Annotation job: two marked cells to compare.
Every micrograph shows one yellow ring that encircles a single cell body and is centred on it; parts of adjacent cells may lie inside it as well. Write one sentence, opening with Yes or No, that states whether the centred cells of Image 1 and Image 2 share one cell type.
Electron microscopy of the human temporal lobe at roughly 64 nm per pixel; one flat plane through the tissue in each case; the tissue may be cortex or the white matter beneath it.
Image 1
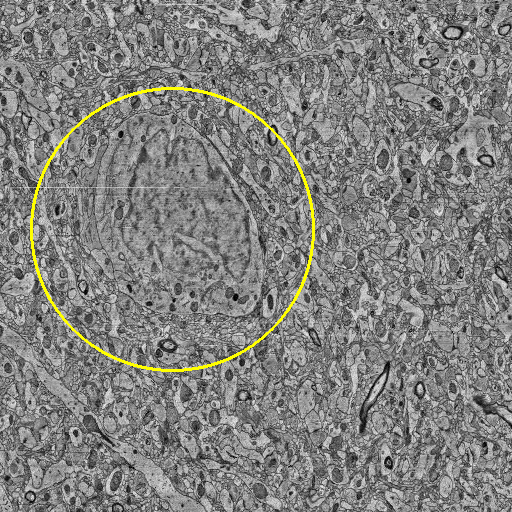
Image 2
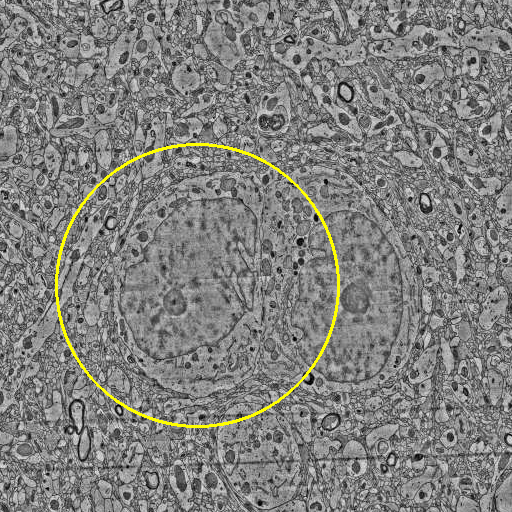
Yes, the cell centred in Image 1 shares its type with the cell centred in Image 2.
